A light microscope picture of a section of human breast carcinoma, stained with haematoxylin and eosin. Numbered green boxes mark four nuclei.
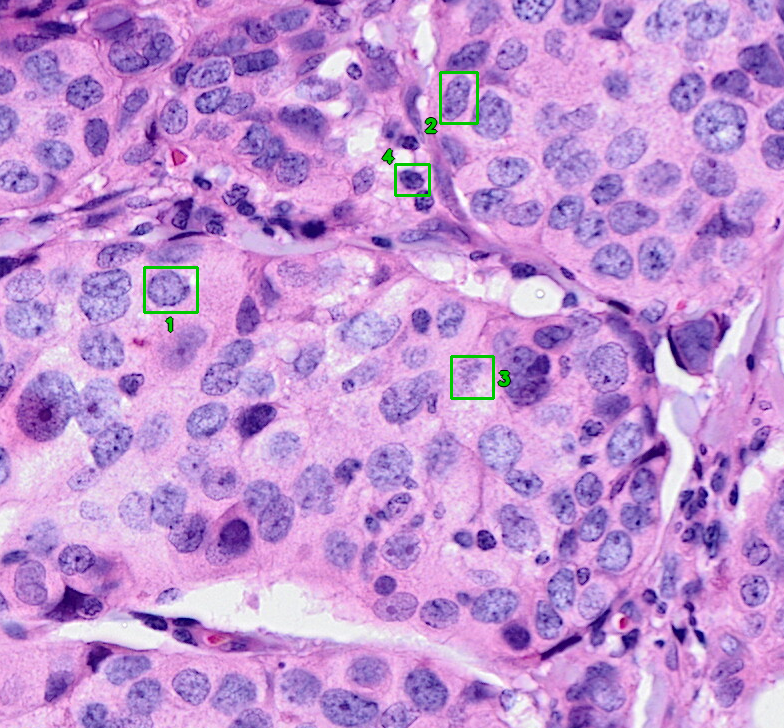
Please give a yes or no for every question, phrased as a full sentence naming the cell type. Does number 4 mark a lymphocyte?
Yes, the cell referred to as number 4 is a lymphocyte.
